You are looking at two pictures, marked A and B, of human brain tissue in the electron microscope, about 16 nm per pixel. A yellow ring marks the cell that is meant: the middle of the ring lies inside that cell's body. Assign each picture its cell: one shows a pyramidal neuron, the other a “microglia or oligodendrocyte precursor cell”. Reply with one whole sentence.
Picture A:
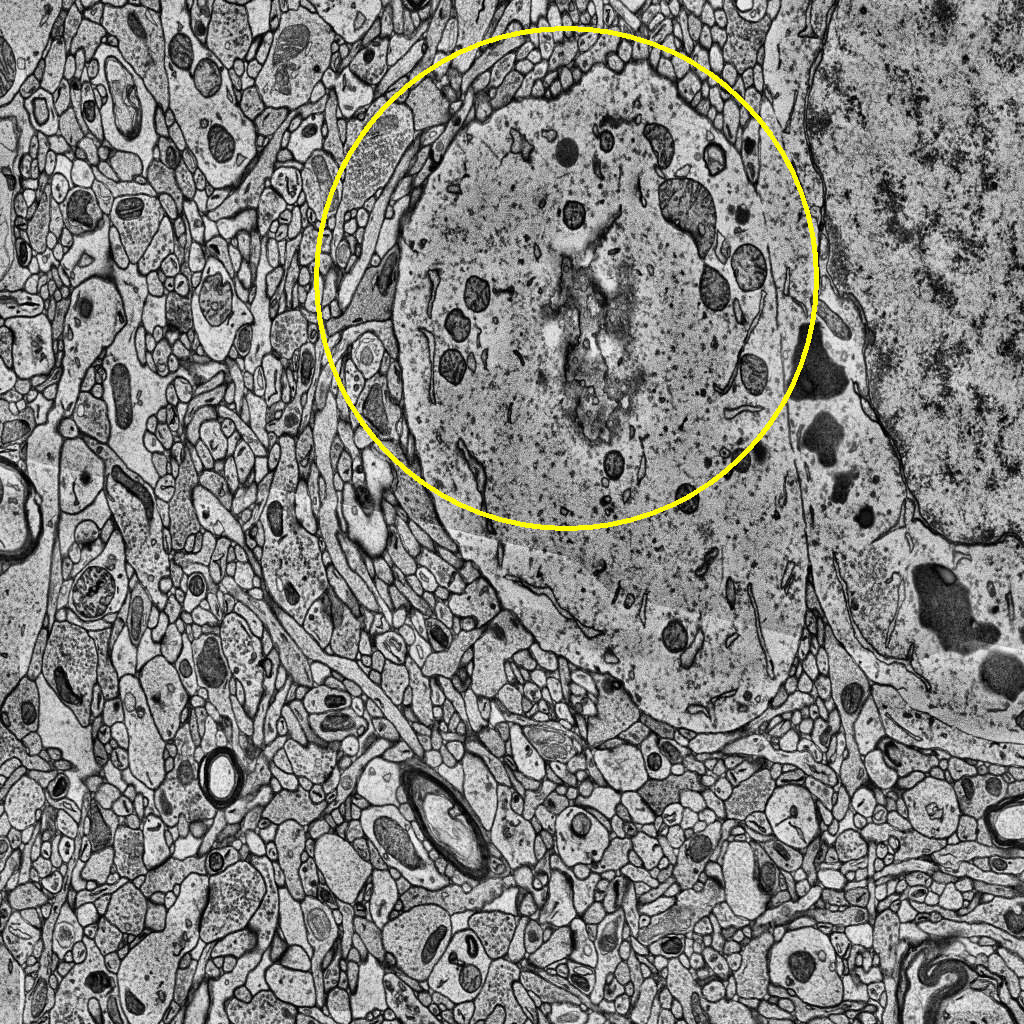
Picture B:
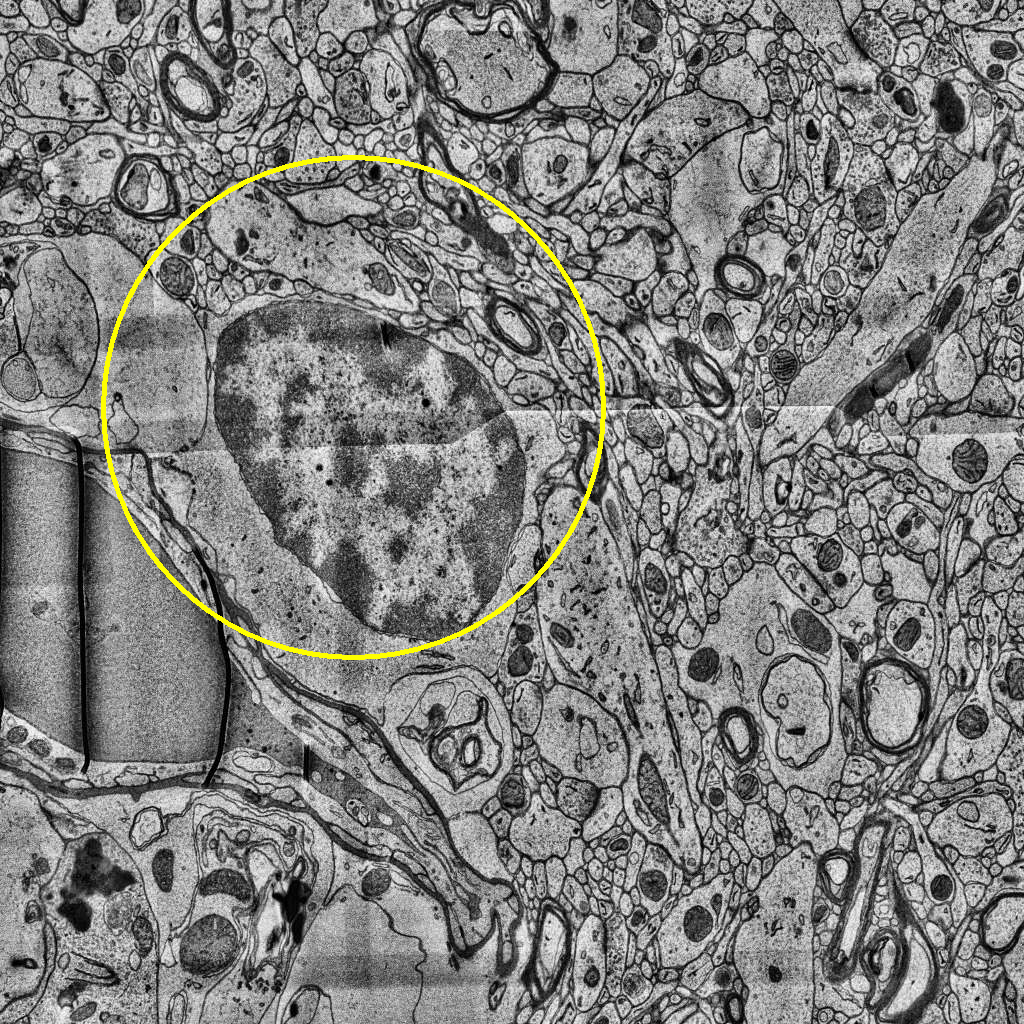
Picture A is of a pyramidal neuron, and picture B is of a “microglia or oligodendrocyte precursor cell”.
